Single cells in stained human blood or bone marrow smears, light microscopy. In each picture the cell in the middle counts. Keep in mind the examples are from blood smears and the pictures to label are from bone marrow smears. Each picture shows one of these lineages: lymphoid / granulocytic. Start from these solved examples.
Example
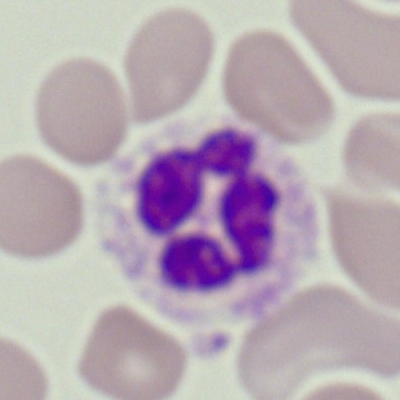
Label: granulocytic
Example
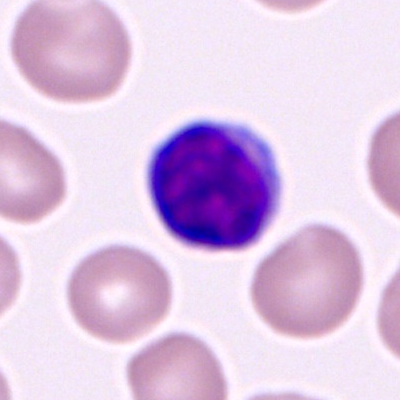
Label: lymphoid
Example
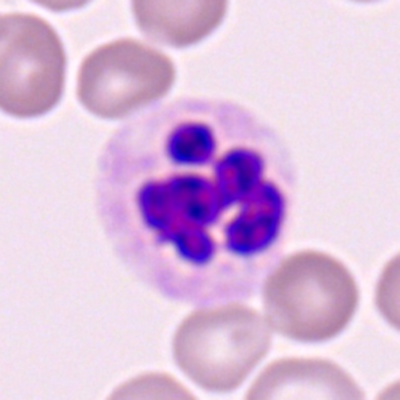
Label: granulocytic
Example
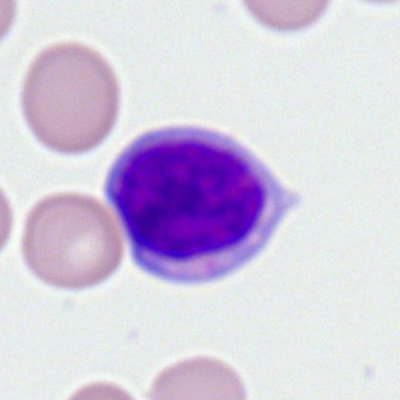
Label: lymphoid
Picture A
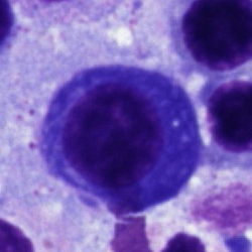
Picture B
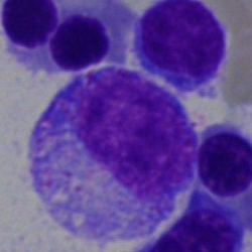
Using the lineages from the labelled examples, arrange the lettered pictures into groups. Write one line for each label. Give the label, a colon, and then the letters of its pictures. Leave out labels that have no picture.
lymphoid: A
granulocytic: B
